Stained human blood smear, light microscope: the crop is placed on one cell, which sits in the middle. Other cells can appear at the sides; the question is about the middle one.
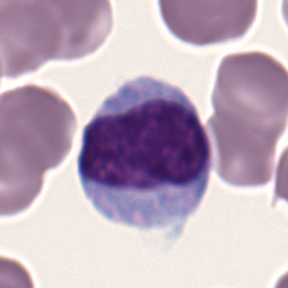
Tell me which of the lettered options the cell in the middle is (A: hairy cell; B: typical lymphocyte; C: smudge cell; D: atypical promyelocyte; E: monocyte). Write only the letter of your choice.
E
